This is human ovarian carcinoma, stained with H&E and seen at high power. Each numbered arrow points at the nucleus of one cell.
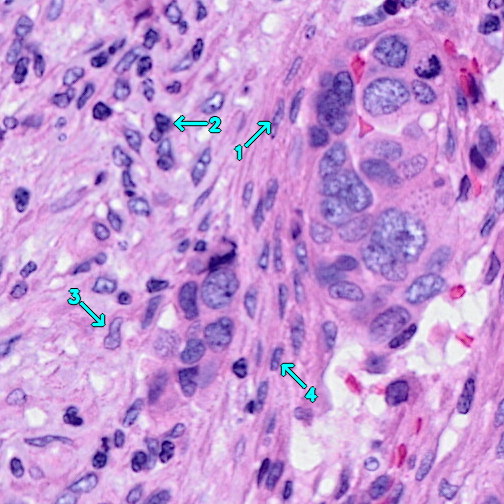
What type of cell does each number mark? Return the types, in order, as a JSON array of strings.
["fibroblast", "lymphocyte", "fibroblast", "fibroblast"]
